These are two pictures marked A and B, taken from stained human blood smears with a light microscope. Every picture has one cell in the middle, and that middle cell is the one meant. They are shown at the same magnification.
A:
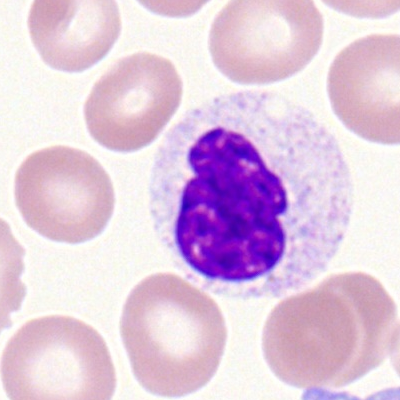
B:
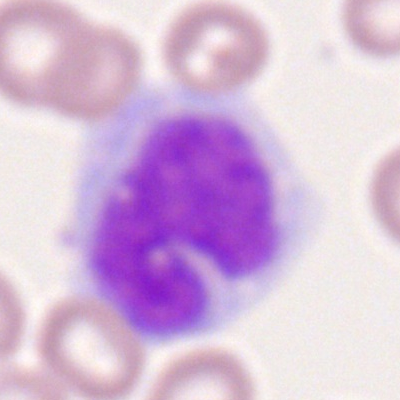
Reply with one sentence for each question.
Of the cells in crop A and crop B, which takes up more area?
Crop B holds the larger cell; it covers about 1.5 times the area of the cell in crop A.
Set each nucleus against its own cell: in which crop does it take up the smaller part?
Of the two, the nucleus in crop A leaves more room for cytoplasm.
